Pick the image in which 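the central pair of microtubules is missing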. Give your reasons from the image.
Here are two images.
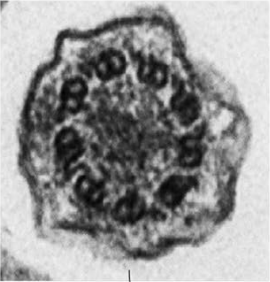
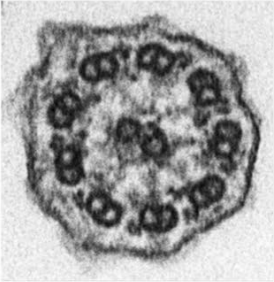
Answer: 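The first image. First image: the centre of the ring of doublets shows only dense granular material, no two central rings. Second image: two single microtubules sit clearly in the centre of the ring of doublets.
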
